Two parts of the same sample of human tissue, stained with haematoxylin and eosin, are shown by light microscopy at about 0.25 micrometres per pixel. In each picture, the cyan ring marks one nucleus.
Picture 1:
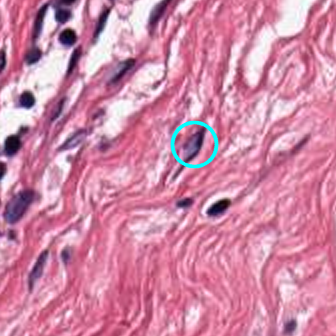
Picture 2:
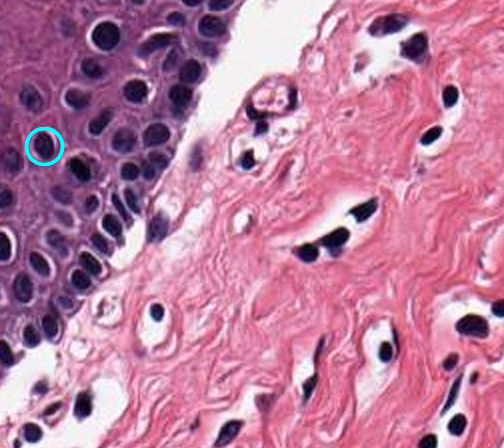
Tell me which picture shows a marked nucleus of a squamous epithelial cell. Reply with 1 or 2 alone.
2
